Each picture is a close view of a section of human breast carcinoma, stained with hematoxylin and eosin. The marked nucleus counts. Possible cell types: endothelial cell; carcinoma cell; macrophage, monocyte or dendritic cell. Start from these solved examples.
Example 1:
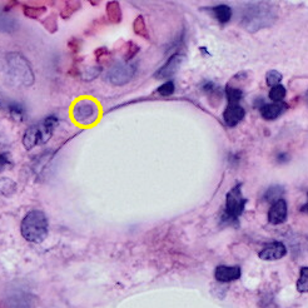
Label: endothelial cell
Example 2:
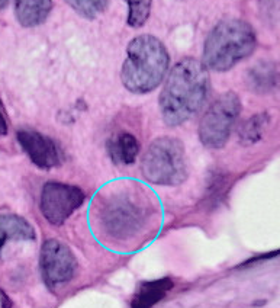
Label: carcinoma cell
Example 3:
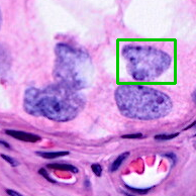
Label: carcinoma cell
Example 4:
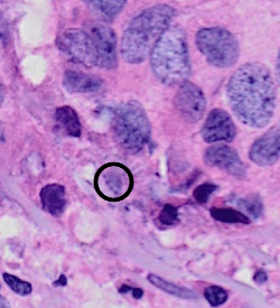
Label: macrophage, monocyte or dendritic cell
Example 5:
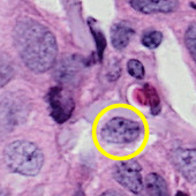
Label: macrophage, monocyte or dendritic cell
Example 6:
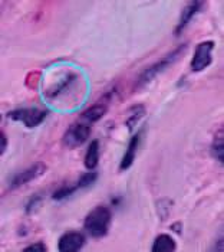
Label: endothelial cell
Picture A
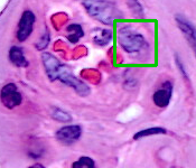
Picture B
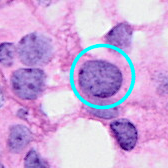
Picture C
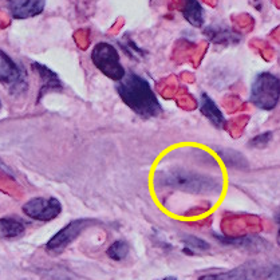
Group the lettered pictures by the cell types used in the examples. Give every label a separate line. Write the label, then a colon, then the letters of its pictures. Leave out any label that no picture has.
endothelial cell: A, C
carcinoma cell: B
